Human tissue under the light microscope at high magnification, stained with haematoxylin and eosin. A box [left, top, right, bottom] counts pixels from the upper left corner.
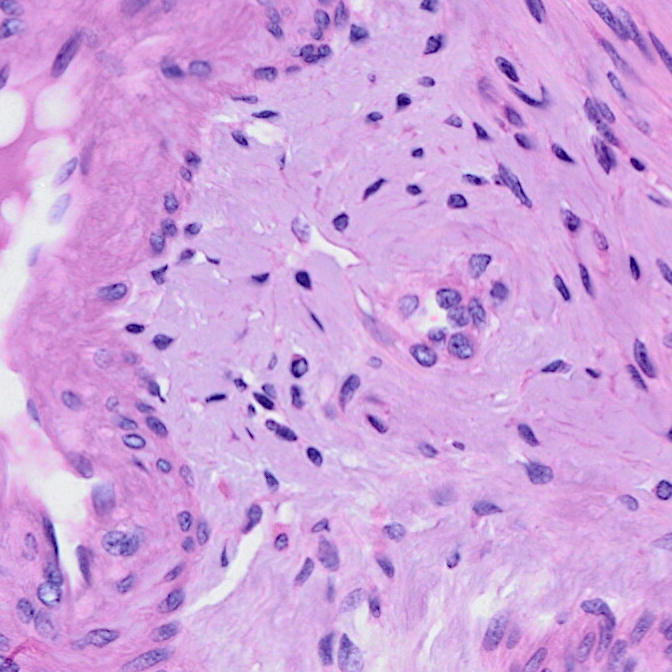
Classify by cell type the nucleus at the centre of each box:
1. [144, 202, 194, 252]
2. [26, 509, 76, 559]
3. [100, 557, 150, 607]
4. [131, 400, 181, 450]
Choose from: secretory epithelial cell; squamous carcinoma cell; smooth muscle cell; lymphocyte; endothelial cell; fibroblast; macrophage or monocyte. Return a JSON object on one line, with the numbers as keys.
{"1": "smooth muscle cell", "2": "endothelial cell", "3": "smooth muscle cell", "4": "smooth muscle cell"}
